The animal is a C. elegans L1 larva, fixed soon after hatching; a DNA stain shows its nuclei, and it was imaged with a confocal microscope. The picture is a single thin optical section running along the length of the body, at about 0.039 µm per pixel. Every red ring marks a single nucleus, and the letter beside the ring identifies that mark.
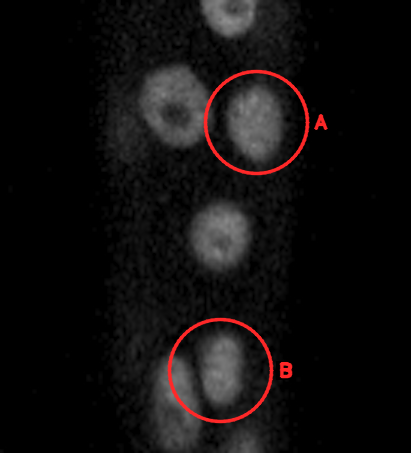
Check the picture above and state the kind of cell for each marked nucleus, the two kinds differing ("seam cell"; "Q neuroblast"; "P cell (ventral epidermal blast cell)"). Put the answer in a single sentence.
B belongs to a seam cell, and A to a P cell (ventral epidermal blast cell).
